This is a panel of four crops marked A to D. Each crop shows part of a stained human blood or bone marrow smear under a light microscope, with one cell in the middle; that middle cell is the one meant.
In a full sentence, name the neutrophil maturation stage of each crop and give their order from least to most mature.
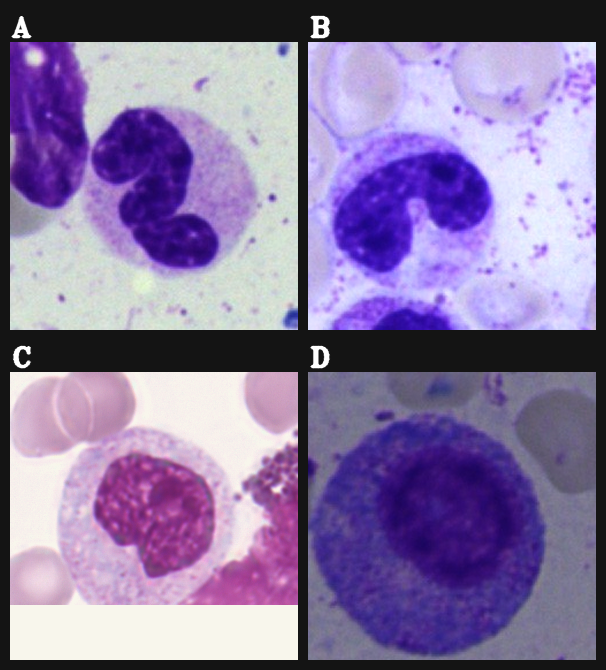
Beginning with the least mature, the order is crop D (a promyelocyte), crop C (a metamyelocyte), crop B (a band neutrophil) and crop A (a segmented neutrophil).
